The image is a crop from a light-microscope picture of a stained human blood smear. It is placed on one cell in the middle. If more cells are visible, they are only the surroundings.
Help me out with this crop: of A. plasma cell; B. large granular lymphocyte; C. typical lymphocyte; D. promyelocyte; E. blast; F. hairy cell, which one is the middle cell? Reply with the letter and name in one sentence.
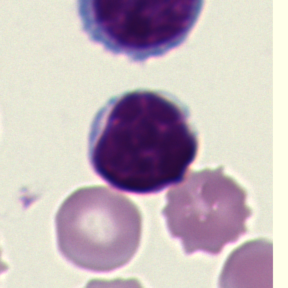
The cell at the heart of the crop is a typical lymphocyte, so choose option C.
